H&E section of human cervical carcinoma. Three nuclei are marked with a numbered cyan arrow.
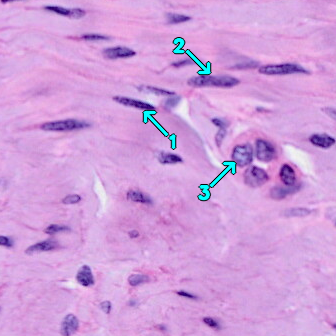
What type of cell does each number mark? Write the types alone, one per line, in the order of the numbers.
fibroblast
fibroblast
endothelial cell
